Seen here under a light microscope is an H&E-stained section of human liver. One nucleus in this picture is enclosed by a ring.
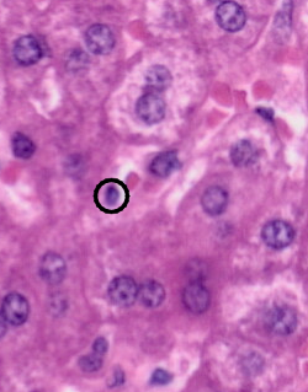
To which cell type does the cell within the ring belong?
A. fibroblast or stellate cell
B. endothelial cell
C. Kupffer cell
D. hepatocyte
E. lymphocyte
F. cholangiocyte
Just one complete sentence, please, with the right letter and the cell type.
On this slide, the cell within the ring is a lymphocyte, so option E is right.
